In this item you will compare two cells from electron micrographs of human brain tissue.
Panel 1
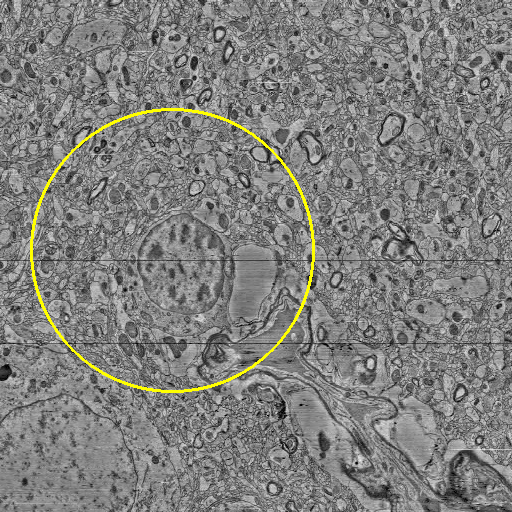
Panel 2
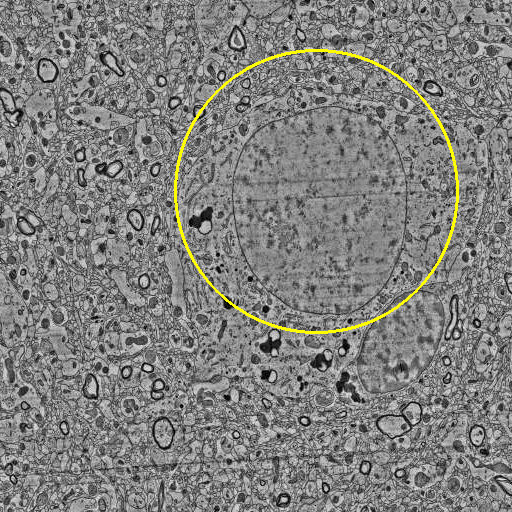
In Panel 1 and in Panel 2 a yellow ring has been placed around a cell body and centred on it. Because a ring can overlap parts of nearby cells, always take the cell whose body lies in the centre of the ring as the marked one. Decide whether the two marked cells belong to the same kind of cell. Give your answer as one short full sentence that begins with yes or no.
No, the two marked cells belong to two kinds of cell.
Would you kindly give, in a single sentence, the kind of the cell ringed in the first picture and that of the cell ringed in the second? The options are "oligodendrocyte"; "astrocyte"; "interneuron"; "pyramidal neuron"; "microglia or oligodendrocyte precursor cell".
The second cell is a pyramidal neuron, and the first cell is an oligodendrocyte.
